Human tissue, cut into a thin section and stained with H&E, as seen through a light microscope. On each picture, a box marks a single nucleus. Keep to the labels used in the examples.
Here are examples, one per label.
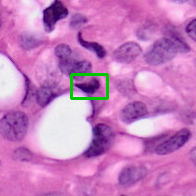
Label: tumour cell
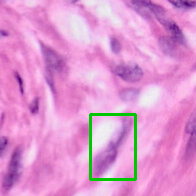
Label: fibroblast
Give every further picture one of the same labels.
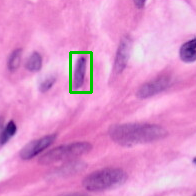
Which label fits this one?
fibroblast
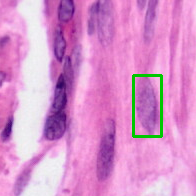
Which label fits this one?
fibroblast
